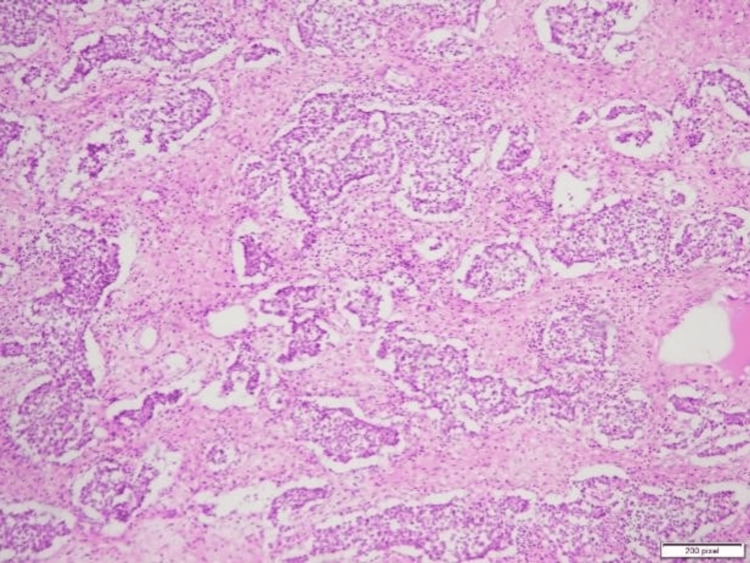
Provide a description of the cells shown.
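The tumour cells lie in closely packed, rounded to irregular nests and cords with purple nuclei. The nests are divided by broad bands of pale pink fibrous stroma that holds scattered smaller nuclei. Clear spaces separate many nests from the surrounding stroma, and a few larger empty spaces lie within the tissue.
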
